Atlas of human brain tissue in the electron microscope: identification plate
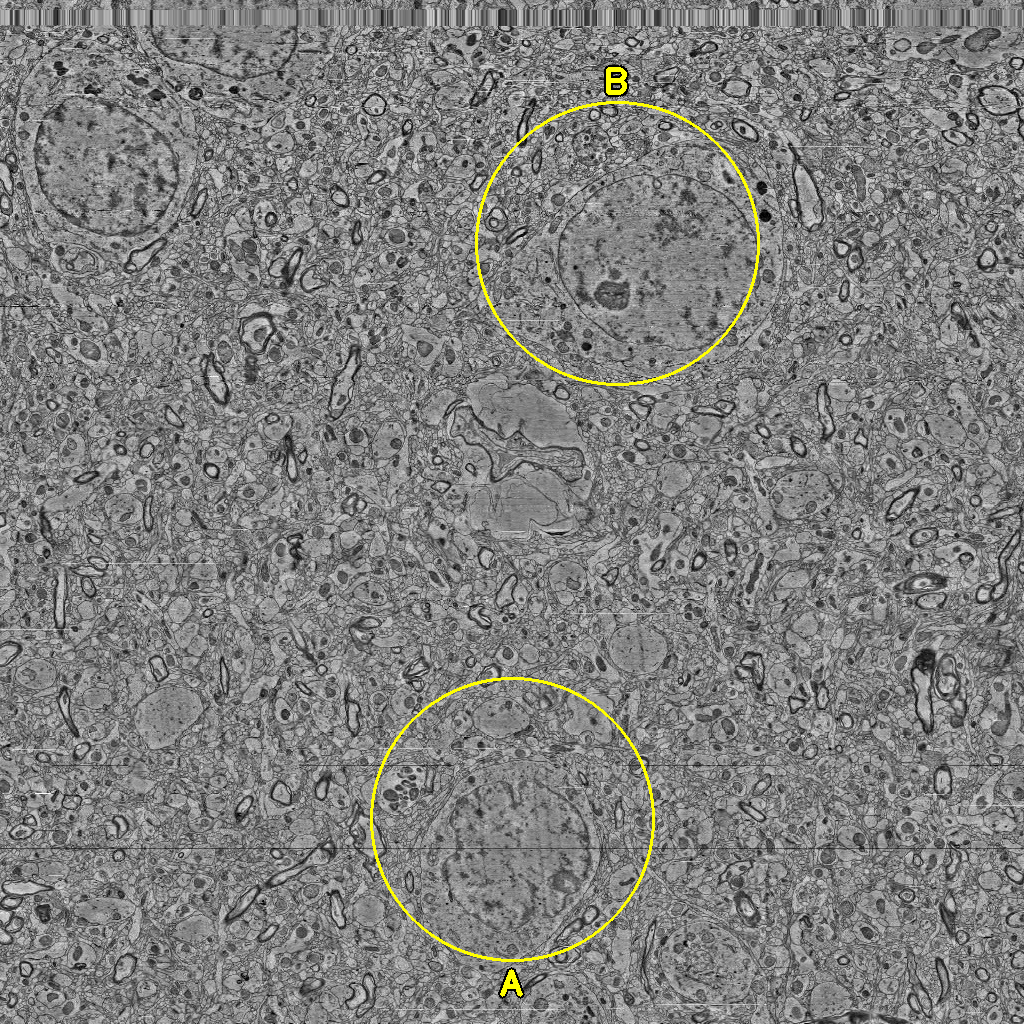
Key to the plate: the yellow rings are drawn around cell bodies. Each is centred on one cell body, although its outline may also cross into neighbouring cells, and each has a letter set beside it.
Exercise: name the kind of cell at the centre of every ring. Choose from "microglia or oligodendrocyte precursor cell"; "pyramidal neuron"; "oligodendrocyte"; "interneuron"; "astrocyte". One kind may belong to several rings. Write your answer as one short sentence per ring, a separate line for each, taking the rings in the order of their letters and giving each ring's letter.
The centre of ring A is occupied by an interneuron.
The centre of ring B is occupied by a pyramidal neuron.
